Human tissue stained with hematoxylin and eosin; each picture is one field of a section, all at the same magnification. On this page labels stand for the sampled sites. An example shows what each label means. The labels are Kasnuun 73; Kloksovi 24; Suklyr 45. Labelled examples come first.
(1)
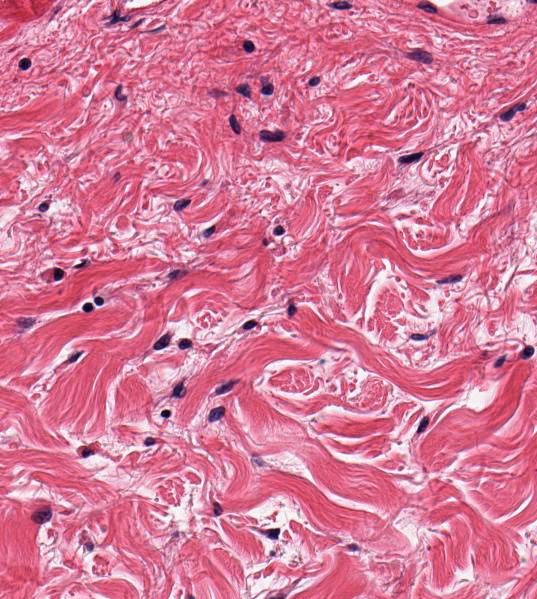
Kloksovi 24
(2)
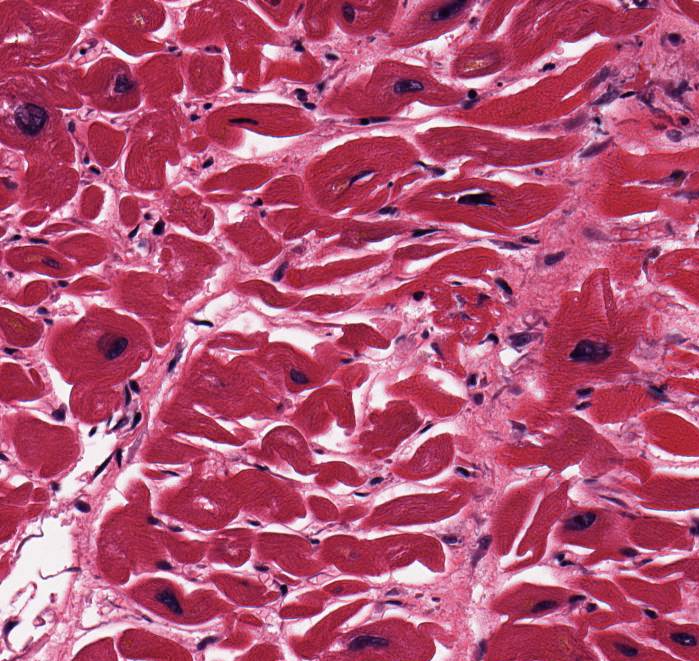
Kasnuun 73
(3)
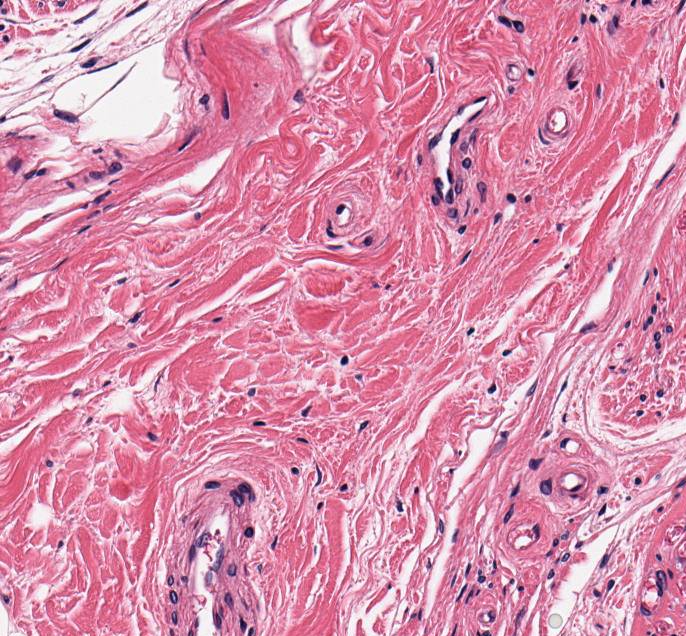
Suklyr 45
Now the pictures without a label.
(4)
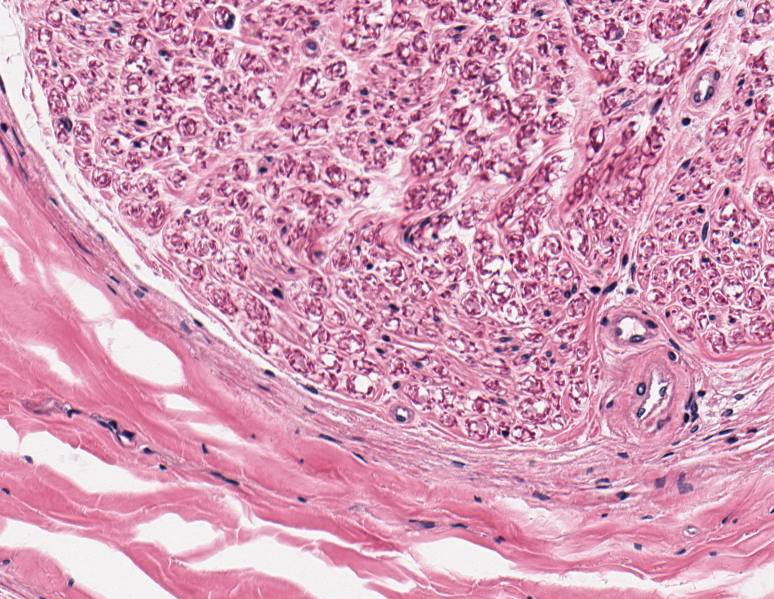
Suklyr 45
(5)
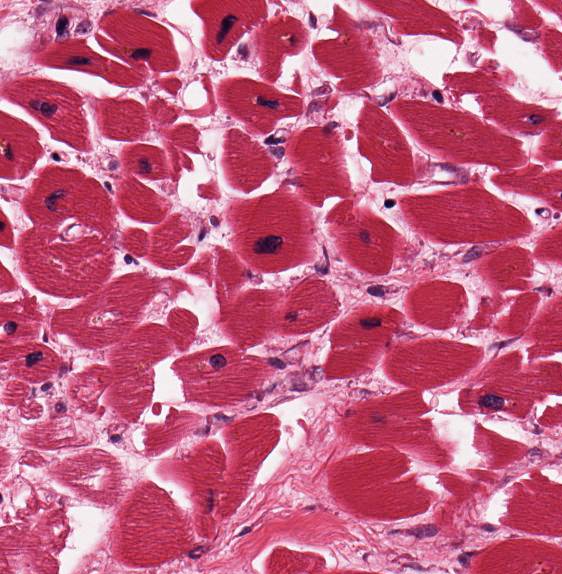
Kasnuun 73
